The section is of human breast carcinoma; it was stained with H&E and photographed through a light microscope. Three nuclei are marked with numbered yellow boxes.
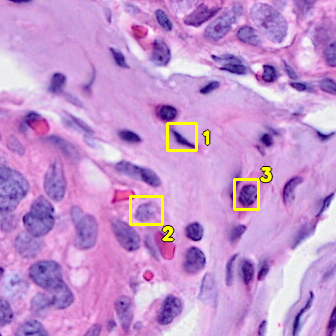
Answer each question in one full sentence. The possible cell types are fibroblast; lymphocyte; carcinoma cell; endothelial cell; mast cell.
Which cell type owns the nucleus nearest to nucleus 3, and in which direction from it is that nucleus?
The nearest nucleus is that of a fibroblast and lies above and to the left of nucleus 3.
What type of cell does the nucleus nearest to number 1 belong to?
Number 1 lies closest to the nucleus of a mast cell.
